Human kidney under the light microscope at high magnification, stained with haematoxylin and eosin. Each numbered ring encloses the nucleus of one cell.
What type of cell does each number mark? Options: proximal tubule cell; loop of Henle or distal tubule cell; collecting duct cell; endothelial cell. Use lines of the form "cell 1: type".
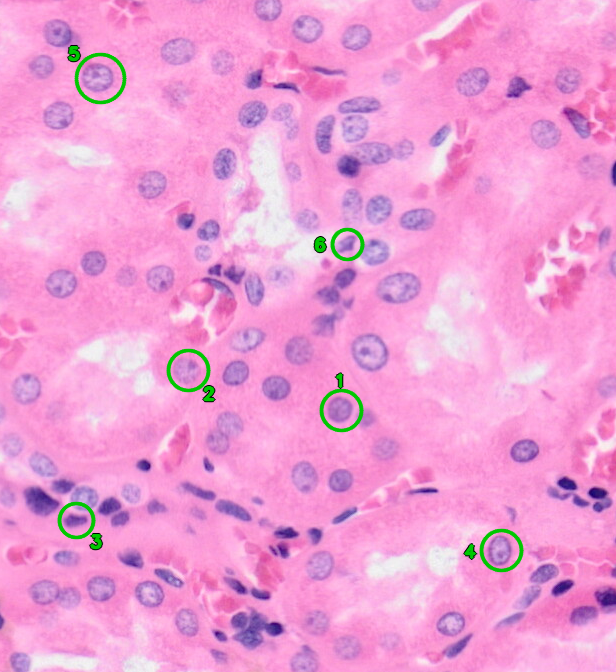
cell 1: proximal tubule cell
cell 2: proximal tubule cell
cell 3: collecting duct cell
cell 4: proximal tubule cell
cell 5: proximal tubule cell
cell 6: collecting duct cell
